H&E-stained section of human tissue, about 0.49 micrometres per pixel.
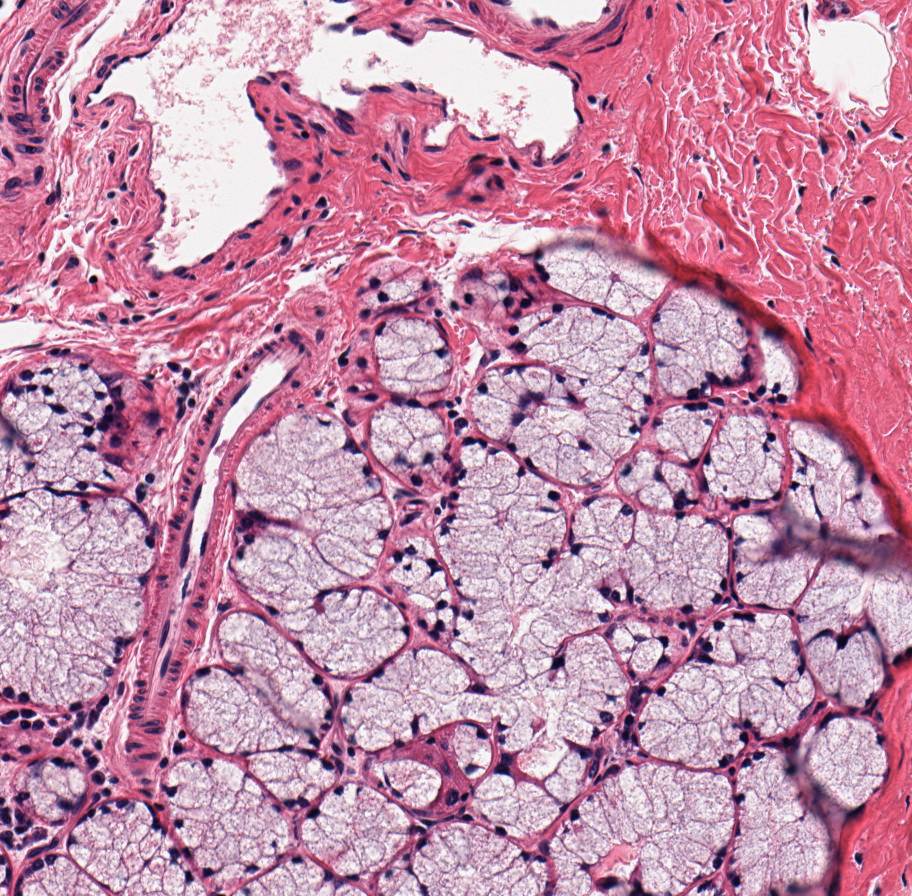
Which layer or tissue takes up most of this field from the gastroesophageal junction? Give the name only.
esophageal gland proper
